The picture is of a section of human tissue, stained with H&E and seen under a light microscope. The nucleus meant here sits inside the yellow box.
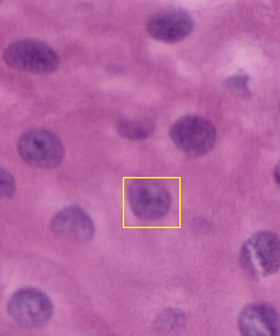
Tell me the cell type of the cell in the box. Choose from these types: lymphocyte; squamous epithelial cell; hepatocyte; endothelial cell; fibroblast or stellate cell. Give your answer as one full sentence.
The cell type represented by the cell in the box is that of a squamous epithelial cell.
